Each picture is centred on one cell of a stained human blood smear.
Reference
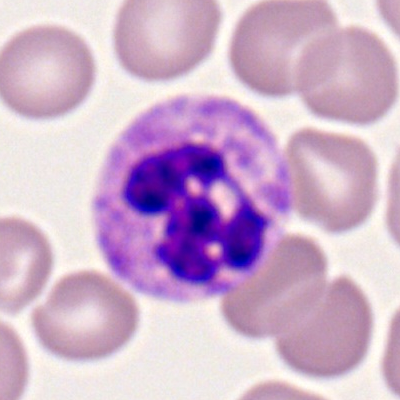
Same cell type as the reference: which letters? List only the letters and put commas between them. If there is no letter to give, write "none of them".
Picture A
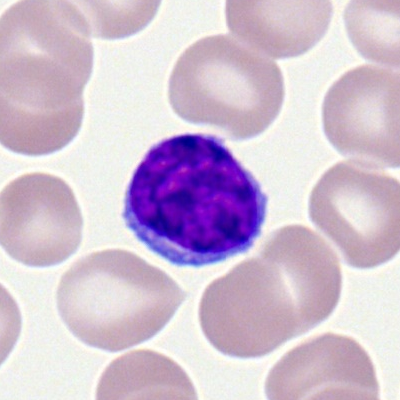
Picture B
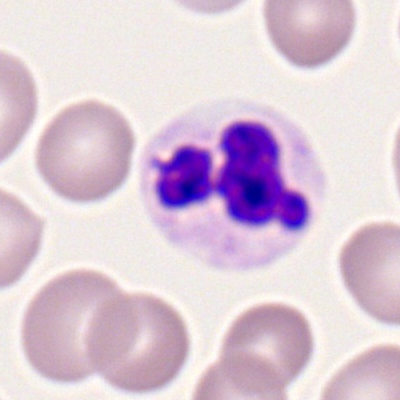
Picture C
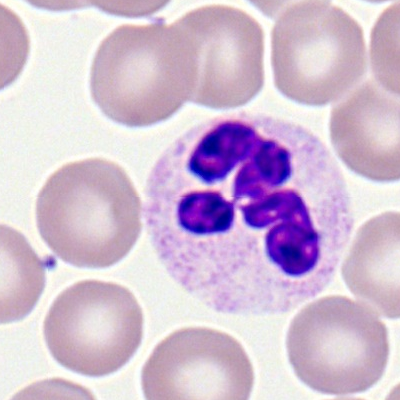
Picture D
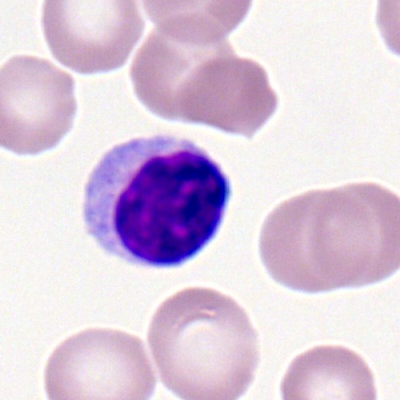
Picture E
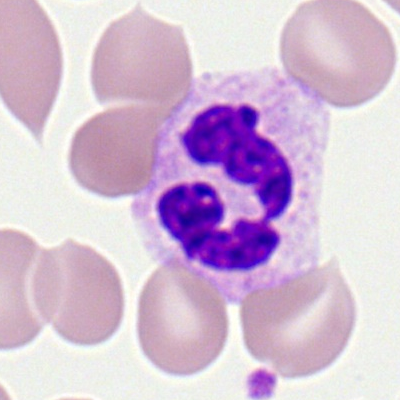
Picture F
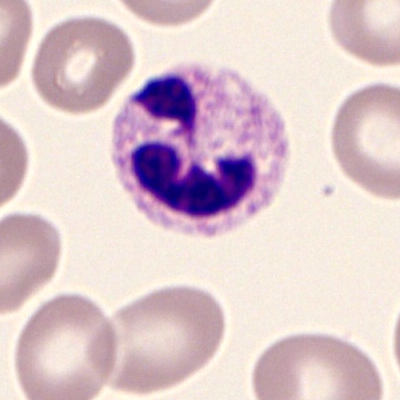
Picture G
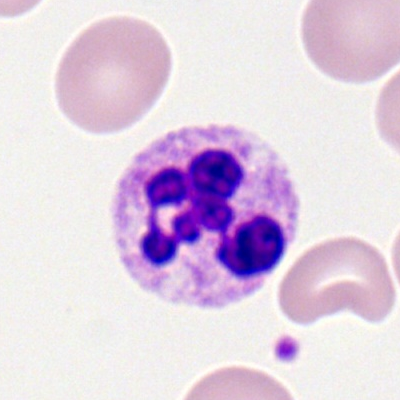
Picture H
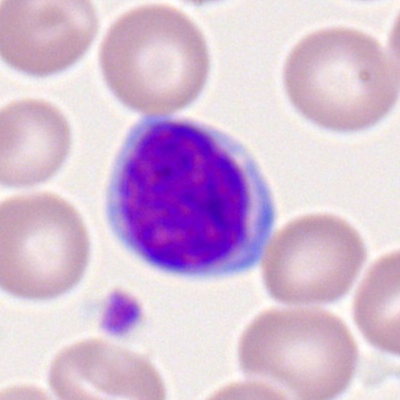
B, C, E, F, G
